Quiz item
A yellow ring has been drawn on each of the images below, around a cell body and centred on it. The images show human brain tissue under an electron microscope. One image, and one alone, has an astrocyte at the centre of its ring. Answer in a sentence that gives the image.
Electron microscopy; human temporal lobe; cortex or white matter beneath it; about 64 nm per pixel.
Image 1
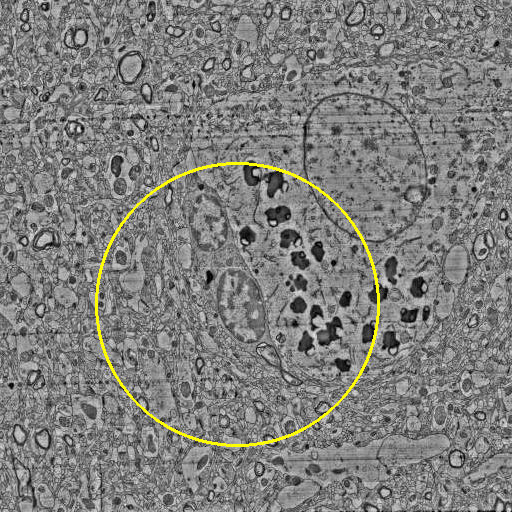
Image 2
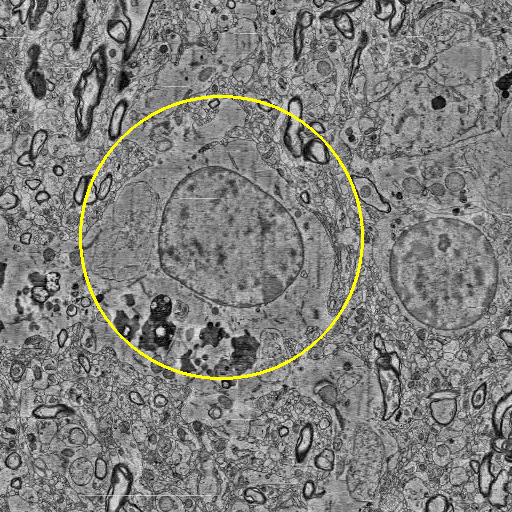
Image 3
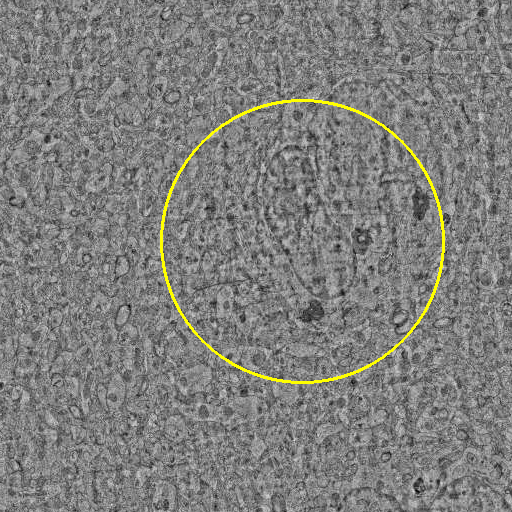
Image 2 shows it at the centre of the ring.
